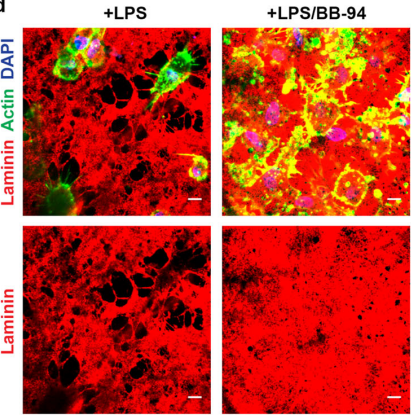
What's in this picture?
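In the left images the red sheet is interrupted by many sharp-edged black perforations around and beneath the cells. In the right images the cells are more crowded and the red sheet stays continuous, with only fine speckled texture and no large holes.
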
